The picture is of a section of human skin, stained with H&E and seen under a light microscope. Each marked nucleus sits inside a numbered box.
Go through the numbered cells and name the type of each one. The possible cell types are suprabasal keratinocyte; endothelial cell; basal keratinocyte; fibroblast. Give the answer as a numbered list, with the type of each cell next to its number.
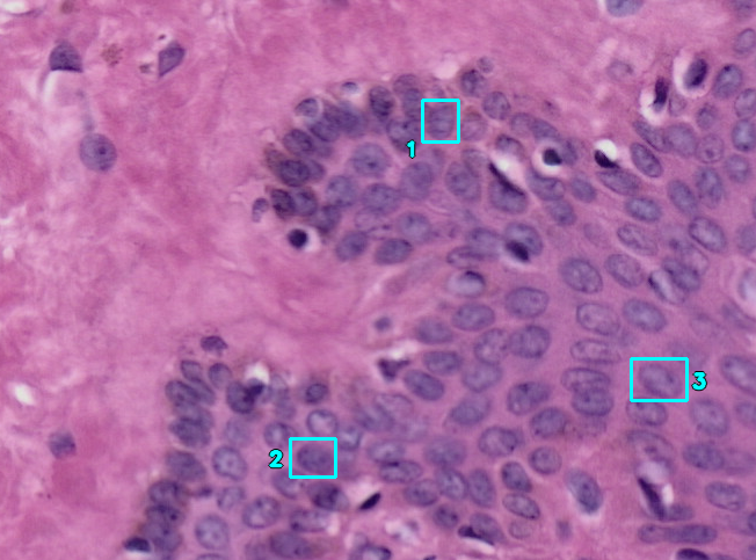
1. basal keratinocyte
2. basal keratinocyte
3. suprabasal keratinocyte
